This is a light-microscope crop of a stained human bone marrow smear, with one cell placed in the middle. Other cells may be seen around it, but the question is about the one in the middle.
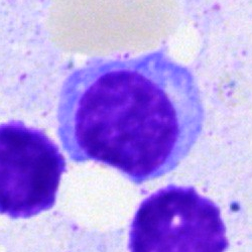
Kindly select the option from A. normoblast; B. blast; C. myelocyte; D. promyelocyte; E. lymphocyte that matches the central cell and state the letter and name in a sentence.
Seen at the centre of the crop is a lymphocyte, so option E is correct.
